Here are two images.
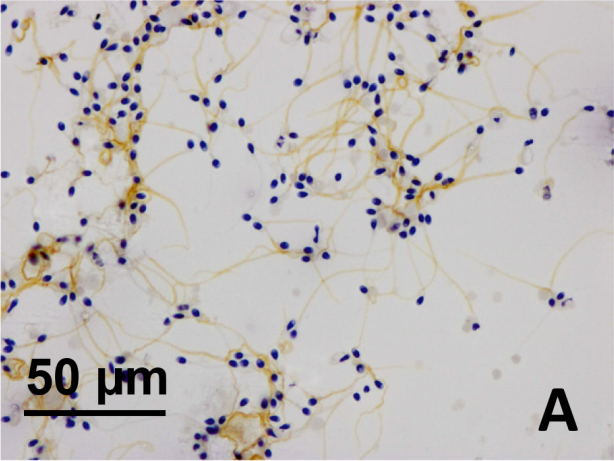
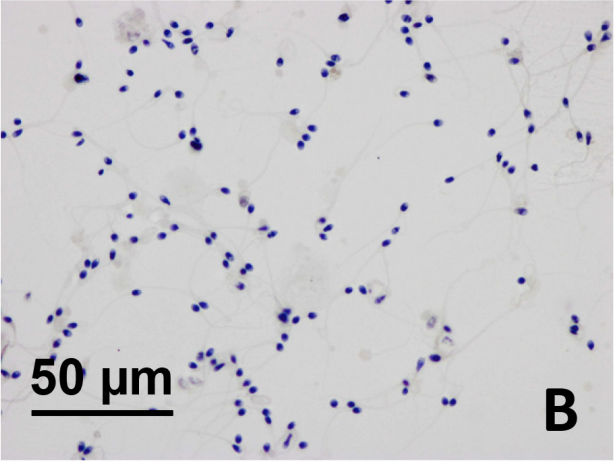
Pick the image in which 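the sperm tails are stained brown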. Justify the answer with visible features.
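The first image. Second image: blue sperm heads with faint, unstained thin tails. First image: blue sperm heads with tails stained brown along much of their length.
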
